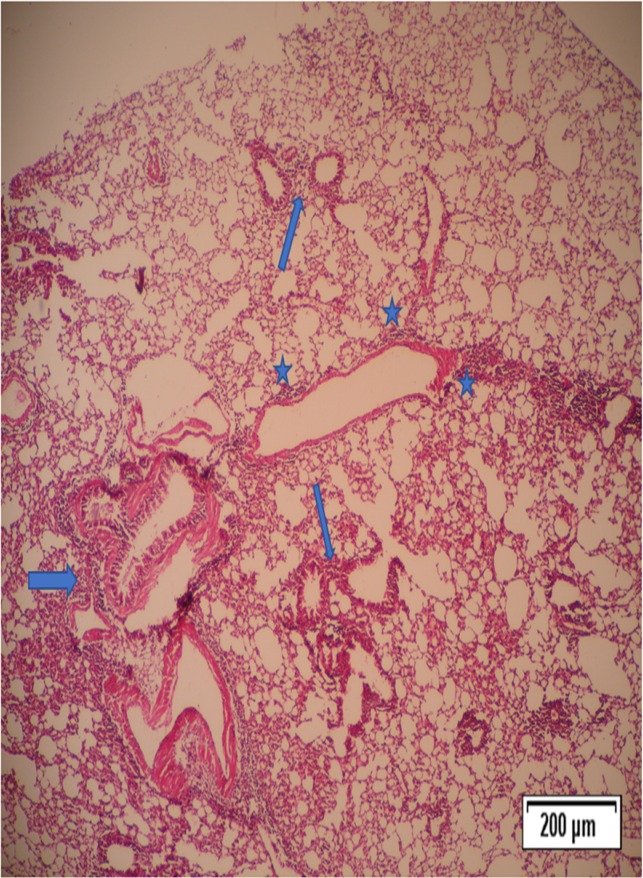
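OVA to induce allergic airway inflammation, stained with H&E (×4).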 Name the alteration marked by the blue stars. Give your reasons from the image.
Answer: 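The stars lie along the wall of a large, elongated vessel. Dark purple nuclei accumulate in the tissue around that vessel wall. So: Perivasculitis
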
